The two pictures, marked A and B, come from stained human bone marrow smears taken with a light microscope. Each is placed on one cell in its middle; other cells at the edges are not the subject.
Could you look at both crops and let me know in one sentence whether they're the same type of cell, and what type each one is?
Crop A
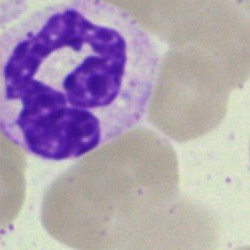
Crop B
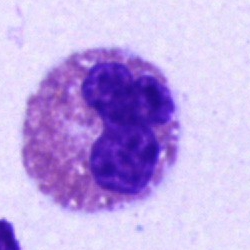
No, the cells are a segmented neutrophil in crop A and an eosinophil in crop B.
